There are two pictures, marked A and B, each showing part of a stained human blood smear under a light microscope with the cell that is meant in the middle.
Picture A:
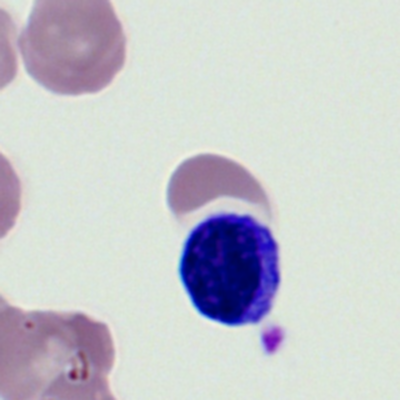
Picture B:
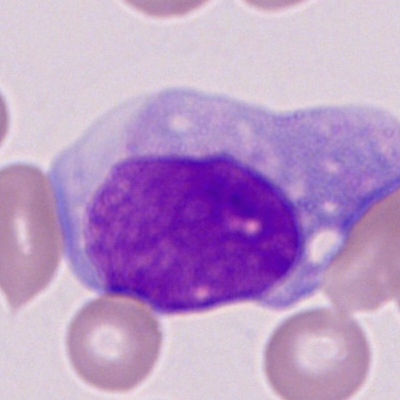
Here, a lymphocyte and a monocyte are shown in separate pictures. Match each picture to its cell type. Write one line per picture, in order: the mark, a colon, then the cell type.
A: lymphocyte
B: monocyte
